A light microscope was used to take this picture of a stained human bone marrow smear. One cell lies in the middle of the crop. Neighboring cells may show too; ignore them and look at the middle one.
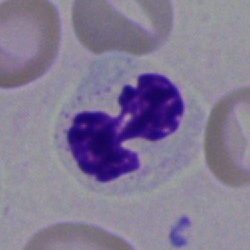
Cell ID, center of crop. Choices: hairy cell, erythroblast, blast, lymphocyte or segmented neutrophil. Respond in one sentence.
Centrally within this crop lies a segmented neutrophil.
